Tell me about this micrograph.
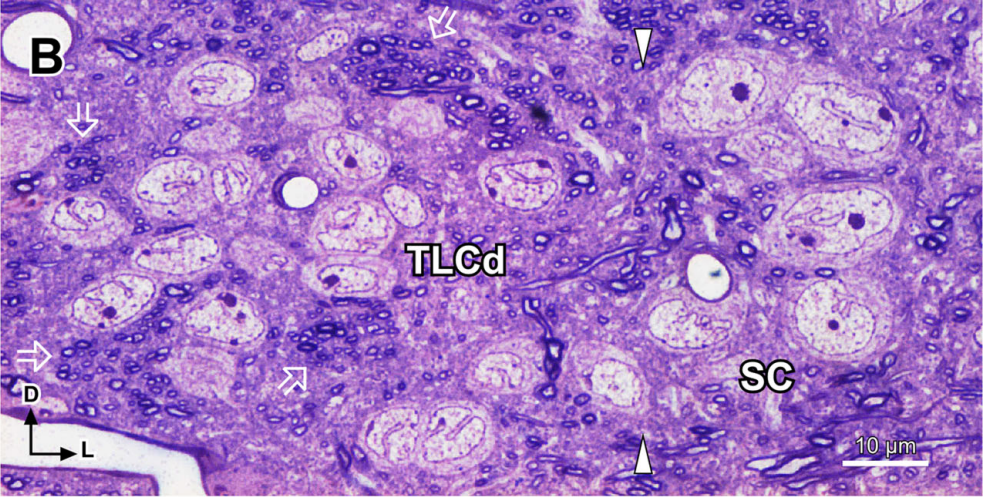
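Semithin section of brain tissue showing neuronal cell bodies as pale, finely granular round-to-oval profiles, many with a single dark nucleolus, set in a purple neuropil crossed by numerous small dark rings of myelinated axons. The neurons on the left are smaller and more closely spaced, while those on the right are much larger. Thin myelinated axons gather into loose clusters between the cell bodies.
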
